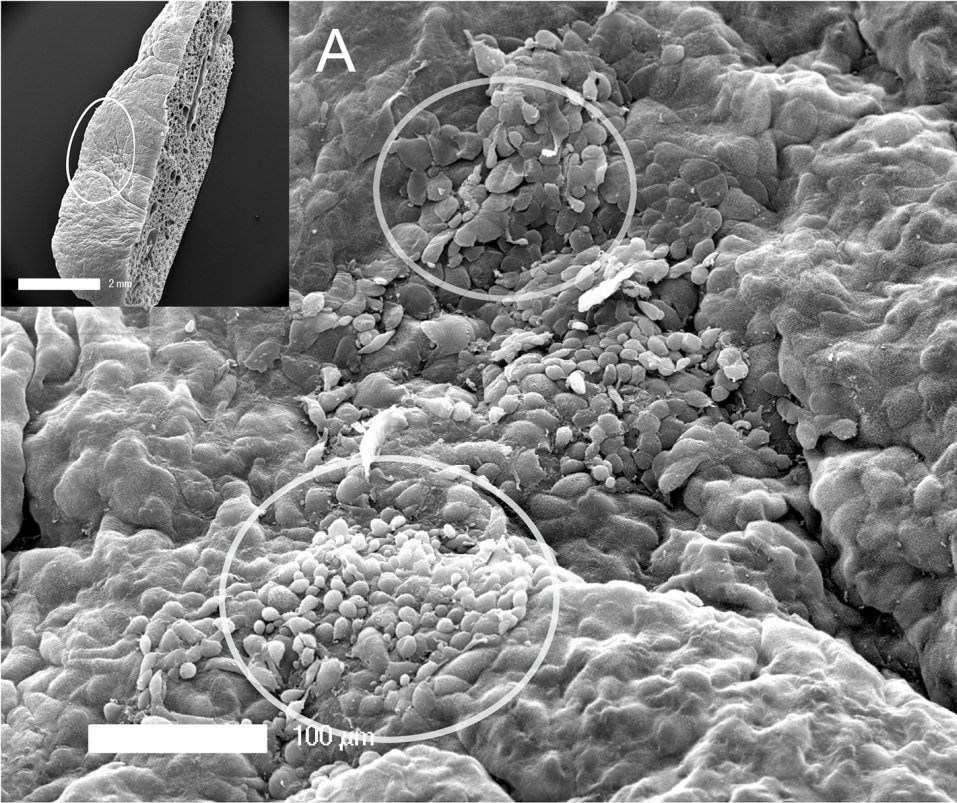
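Low-power surface view of pleural mesothelium. Most of the field is a continuous undulating sheet of flattened, domed cells with a fine textured surface. Two circled areas, and the ground between them, contain clusters of discrete small rounded, ovoid and some spindle-shaped cells that are loosely packed and heaped, breaking the otherwise smooth continuous layer. Some scattered flattened flakes lie on the surface.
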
